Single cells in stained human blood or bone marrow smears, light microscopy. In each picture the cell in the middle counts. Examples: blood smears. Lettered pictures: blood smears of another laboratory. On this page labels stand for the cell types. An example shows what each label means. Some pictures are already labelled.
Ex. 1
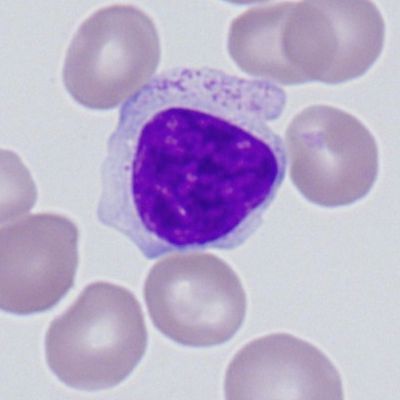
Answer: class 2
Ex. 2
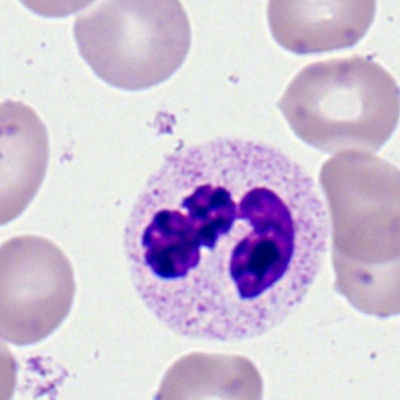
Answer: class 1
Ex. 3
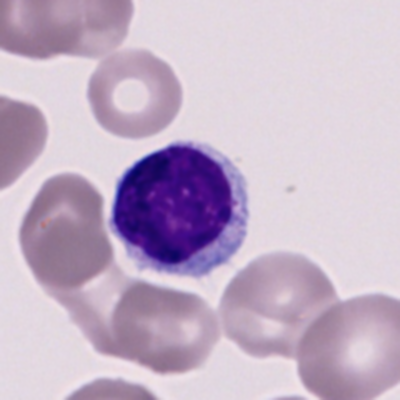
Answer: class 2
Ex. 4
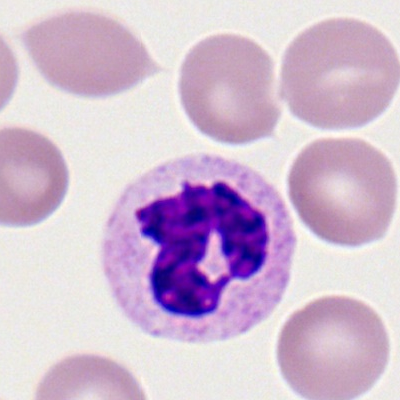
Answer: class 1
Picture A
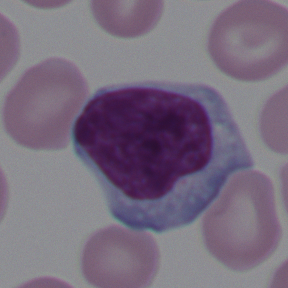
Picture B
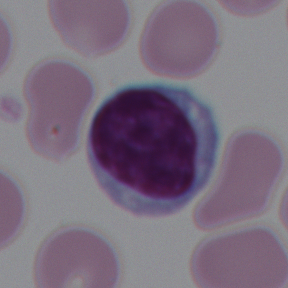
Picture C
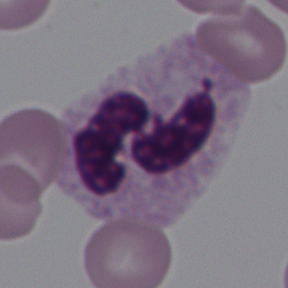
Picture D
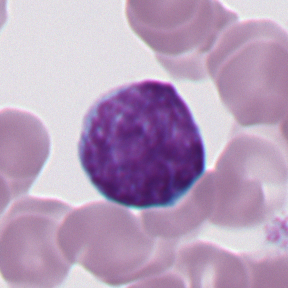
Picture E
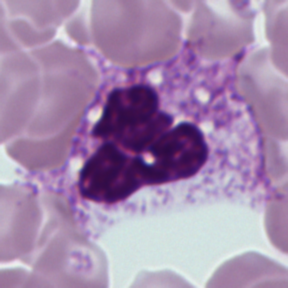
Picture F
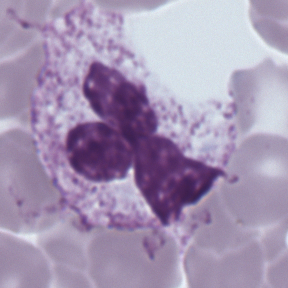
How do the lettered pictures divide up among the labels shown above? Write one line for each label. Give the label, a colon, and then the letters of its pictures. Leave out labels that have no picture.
class 2: A, B, D
class 1: C, E, F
